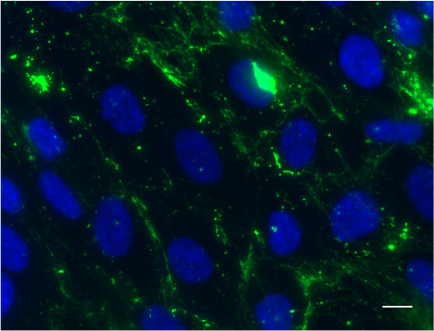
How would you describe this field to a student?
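A confluent layer of cultured cells is seen with blue oval nuclei spaced fairly evenly across the field. Green label lies between and over the cells as fine threads and scattered dots, forming a loose fibrillar network, with one cell showing a bright green patch.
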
